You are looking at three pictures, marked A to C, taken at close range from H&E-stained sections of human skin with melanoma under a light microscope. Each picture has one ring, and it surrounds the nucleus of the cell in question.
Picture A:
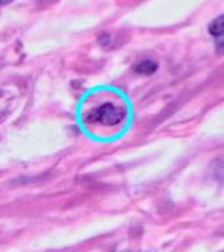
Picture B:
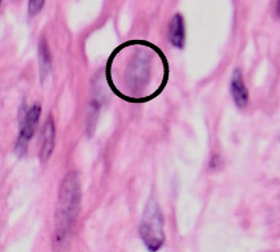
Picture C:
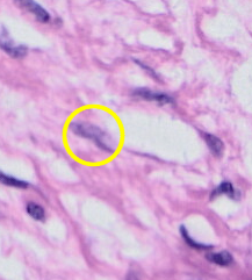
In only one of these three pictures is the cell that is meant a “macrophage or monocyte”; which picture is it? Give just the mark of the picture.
A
